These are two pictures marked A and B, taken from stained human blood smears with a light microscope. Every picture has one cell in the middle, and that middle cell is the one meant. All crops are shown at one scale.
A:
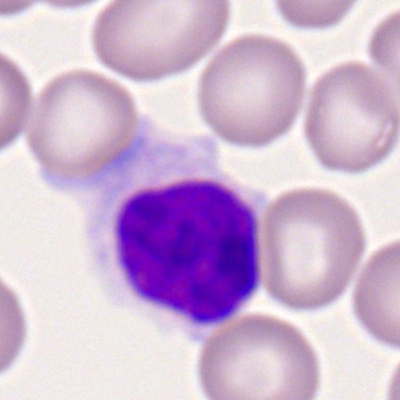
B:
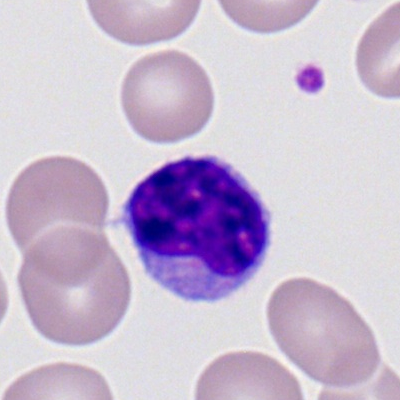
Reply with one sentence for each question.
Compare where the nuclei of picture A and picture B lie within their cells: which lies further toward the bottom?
It is the nucleus in picture A that lies further toward the bottom of its cell.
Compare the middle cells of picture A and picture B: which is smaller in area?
Smaller is the cell in picture B, and the other is about 1.5 times as large in area.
